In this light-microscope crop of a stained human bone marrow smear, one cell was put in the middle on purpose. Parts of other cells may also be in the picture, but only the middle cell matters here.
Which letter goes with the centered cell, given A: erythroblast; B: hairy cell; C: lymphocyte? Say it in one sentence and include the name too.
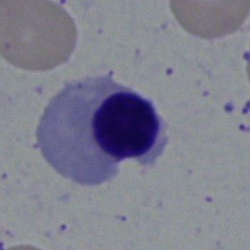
Option A is correct here, and the cell in the middle is an erythroblast.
